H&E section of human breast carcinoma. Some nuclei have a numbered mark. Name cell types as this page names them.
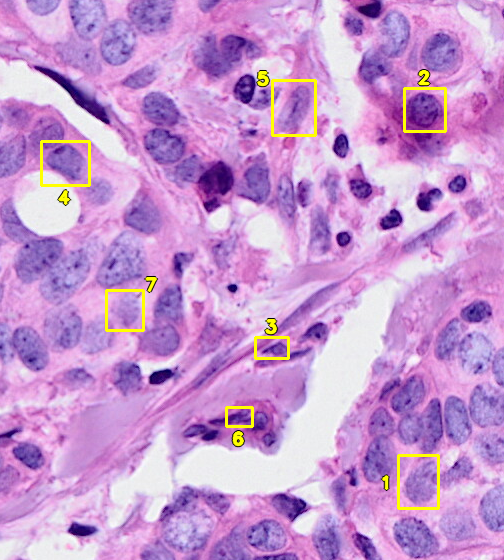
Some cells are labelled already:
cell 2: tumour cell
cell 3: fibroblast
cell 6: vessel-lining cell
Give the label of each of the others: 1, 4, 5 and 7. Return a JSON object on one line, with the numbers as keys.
{"1": "tumour cell", "4": "tumour cell", "5": "vessel-lining cell", "7": "tumour cell"}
